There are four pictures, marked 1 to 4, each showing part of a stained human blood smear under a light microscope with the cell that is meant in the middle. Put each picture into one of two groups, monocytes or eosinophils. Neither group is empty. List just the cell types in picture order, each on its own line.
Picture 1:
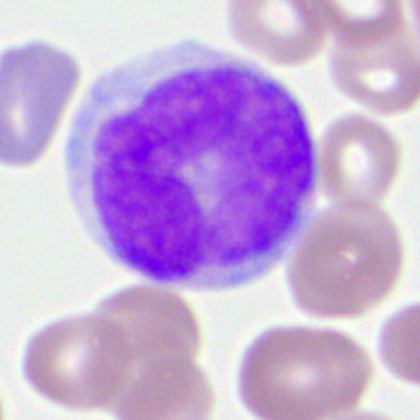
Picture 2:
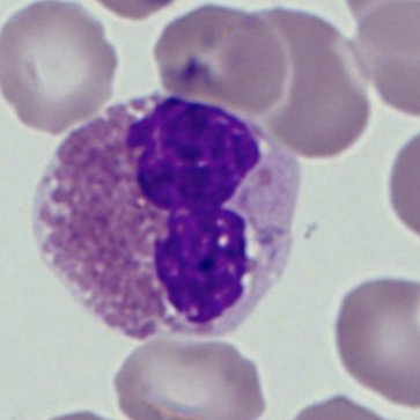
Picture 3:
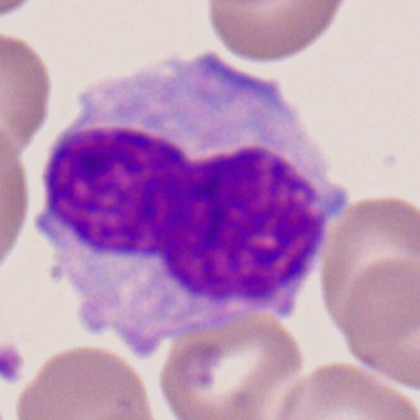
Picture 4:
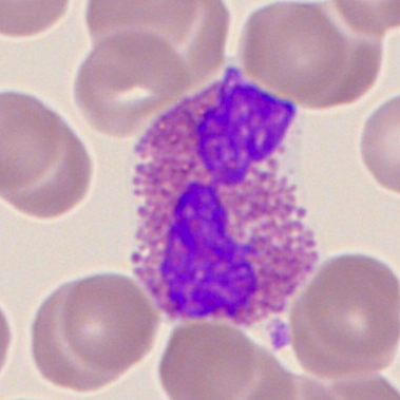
monocyte
eosinophil
monocyte
eosinophil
